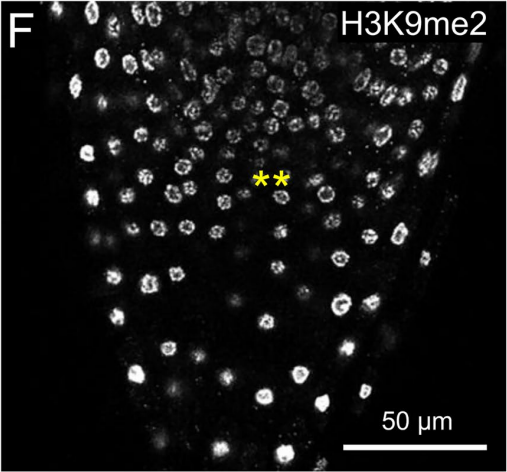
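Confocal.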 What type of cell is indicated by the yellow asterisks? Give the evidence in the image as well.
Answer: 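Quiescent center. Two asterisks lie on neighbouring cells at the centre of the root tip.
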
